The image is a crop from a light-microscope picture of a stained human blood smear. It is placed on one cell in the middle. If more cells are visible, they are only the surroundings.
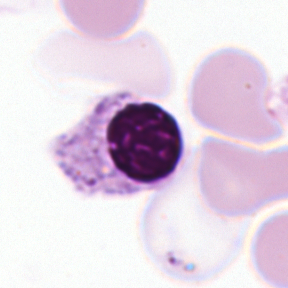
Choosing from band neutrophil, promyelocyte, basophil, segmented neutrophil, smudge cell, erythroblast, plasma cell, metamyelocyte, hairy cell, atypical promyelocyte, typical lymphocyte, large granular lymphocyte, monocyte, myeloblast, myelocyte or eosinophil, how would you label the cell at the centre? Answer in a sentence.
The cell found in the middle of this crop is an erythroblast.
